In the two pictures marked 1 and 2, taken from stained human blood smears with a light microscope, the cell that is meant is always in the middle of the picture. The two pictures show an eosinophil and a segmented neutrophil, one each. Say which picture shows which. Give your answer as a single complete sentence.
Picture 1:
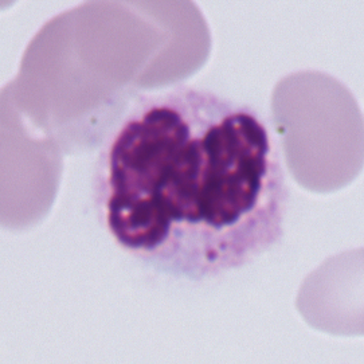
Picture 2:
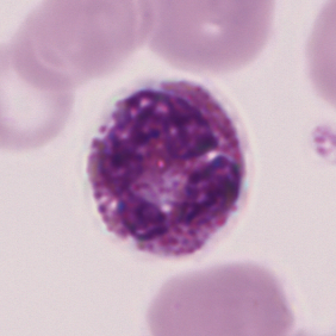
Picture 1 is of a segmented neutrophil, and picture 2 is of an eosinophil.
